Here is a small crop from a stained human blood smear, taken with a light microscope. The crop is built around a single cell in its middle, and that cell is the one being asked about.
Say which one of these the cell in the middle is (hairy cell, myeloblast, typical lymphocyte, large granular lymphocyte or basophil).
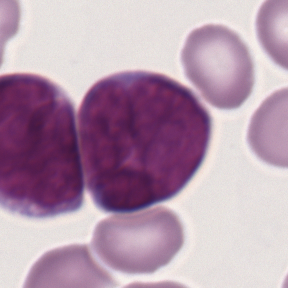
myeloblast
